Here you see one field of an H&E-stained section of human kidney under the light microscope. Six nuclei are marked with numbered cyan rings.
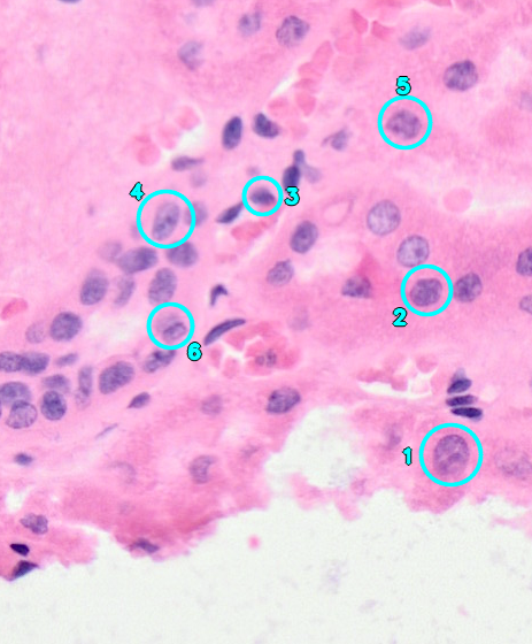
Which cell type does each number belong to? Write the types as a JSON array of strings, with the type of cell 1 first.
["proximal tubule cell", "proximal tubule cell", "endothelial cell", "collecting duct cell", "proximal tubule cell", "collecting duct cell"]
